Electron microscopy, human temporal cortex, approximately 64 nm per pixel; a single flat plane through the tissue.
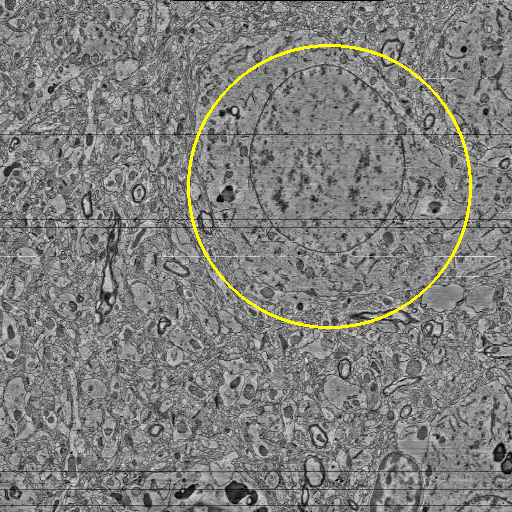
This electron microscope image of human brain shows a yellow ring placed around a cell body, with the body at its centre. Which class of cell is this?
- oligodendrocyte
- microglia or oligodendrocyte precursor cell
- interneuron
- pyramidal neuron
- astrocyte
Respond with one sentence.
The cell body at the ring's centre is a pyramidal neuron.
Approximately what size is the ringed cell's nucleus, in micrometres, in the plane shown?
In this plane, the nucleus of the cell at the centre of the ring measures about 13 by 10 micrometres.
